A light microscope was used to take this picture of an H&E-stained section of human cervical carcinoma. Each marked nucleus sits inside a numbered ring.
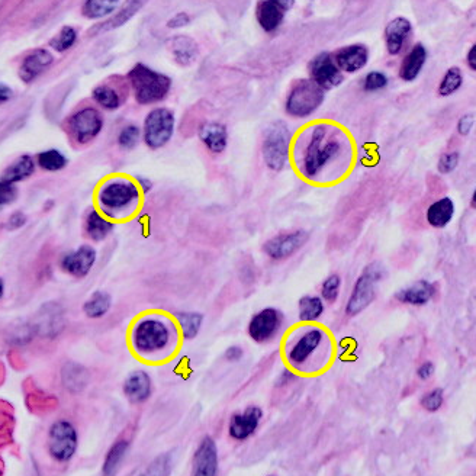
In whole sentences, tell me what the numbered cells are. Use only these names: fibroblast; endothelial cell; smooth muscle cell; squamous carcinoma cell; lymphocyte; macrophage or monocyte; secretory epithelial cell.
Cells 1, 2 and 4 are lymphocytes. Cell 3 is a macrophage or monocyte.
